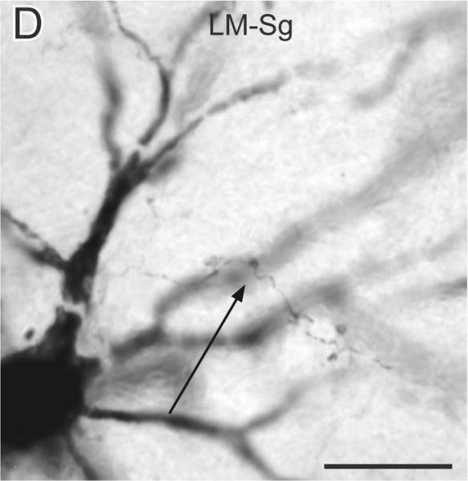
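The cell body is large and filled solid dark at the lower left, and several thick, tapering dendrites radiate from it, branching as they spread up and to the right across the field. Their outlines are somewhat blurred where they pass out of focus. Between these dendrites runs a very thin, pale fiber studded with tiny bead-like swellings, the small terminals of an incoming axon. The background neuropil is pale and finely granular.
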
